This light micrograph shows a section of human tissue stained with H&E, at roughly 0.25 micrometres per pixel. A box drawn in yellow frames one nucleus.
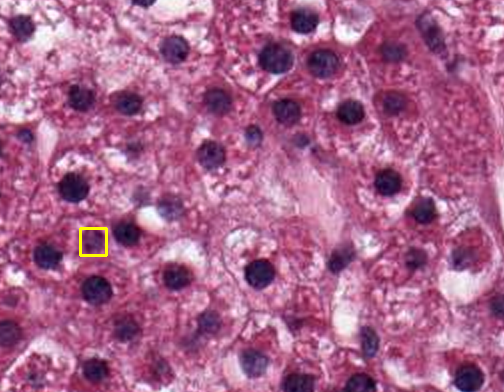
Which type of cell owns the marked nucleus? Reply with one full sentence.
The nucleus marked in the section is that of an adrenal cortical cell.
